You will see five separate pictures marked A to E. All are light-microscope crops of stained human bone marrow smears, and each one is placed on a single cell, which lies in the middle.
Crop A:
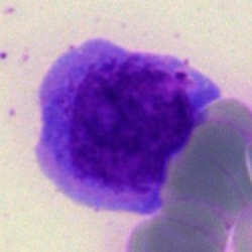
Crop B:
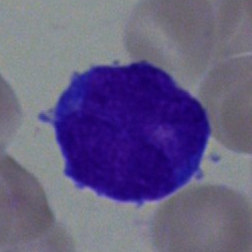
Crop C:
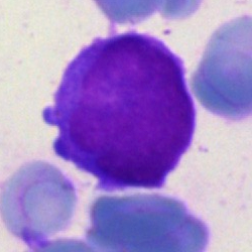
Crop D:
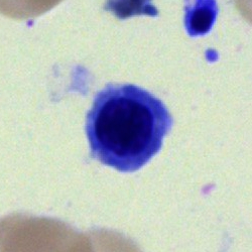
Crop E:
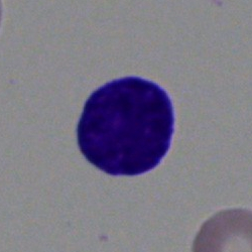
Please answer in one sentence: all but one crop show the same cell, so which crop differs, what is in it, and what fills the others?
What sets crop D apart is that it shows an erythroblast, while the others show blasts.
